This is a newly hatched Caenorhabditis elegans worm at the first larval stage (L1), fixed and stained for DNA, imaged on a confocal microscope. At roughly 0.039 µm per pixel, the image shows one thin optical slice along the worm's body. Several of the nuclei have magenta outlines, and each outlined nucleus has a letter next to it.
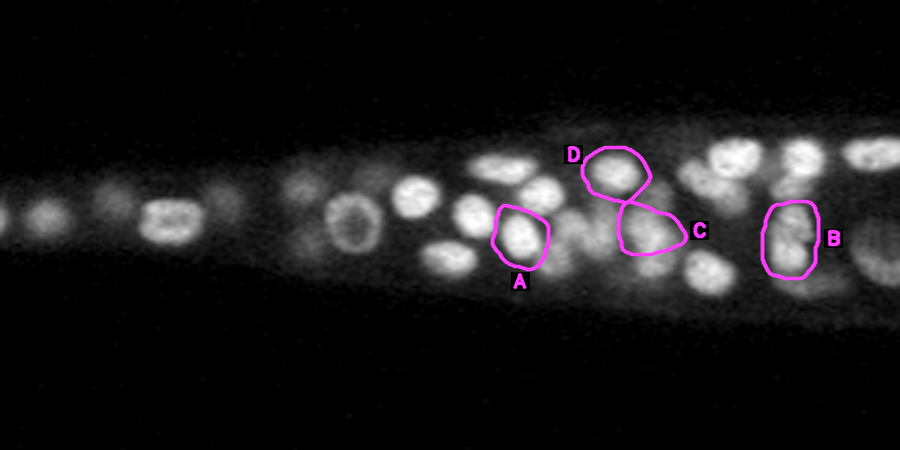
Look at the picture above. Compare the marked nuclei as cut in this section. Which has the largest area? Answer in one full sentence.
Nucleus B covers the most area here.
